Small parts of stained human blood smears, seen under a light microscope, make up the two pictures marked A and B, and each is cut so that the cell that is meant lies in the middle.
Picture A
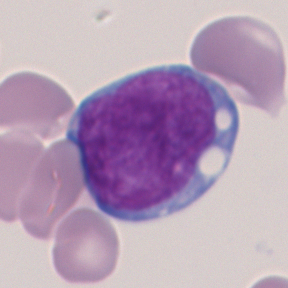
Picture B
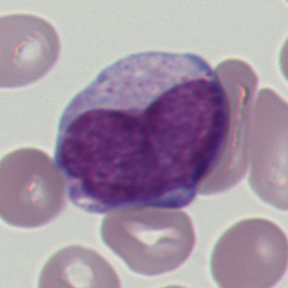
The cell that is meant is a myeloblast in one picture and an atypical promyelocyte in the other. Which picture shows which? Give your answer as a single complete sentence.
The cell in picture A is a myeloblast, and the one in picture B is an atypical promyelocyte.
